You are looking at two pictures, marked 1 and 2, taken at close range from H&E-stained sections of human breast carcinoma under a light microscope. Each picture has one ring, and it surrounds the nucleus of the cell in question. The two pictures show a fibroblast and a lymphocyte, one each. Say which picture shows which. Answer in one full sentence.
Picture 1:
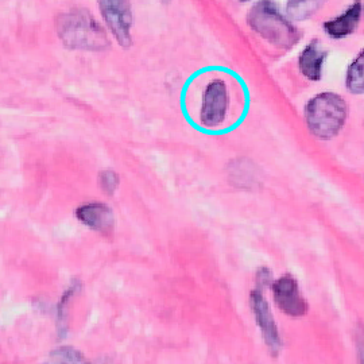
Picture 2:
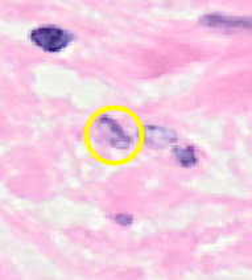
In picture 1 the cell is a lymphocyte; in picture 2, a fibroblast.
